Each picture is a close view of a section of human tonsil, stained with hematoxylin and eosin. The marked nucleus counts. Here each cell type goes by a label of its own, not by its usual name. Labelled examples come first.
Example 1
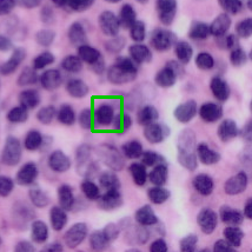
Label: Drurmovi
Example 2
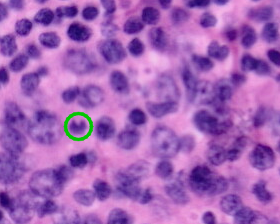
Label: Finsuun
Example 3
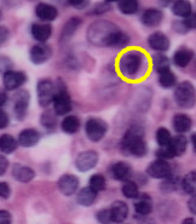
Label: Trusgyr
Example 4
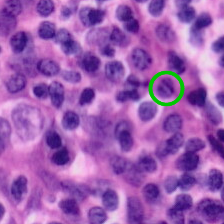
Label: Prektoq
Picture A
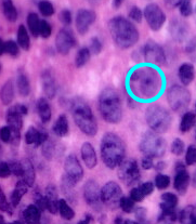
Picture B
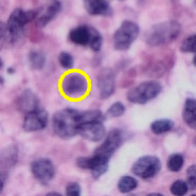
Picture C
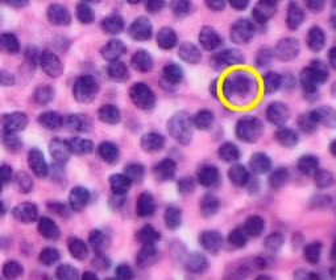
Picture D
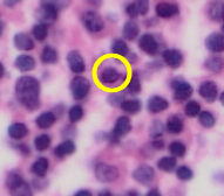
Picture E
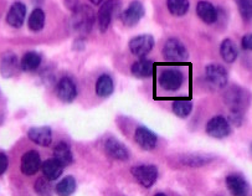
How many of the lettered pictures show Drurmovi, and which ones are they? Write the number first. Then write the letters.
2: C, D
